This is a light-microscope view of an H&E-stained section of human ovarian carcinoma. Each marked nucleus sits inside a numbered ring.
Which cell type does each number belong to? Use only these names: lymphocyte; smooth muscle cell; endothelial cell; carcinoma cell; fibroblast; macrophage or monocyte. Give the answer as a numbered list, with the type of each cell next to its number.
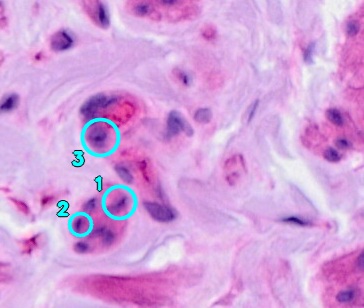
1. smooth muscle cell
2. smooth muscle cell
3. endothelial cell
